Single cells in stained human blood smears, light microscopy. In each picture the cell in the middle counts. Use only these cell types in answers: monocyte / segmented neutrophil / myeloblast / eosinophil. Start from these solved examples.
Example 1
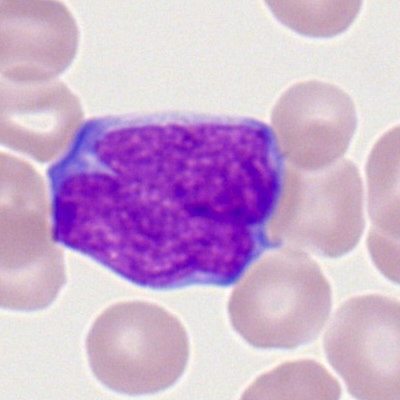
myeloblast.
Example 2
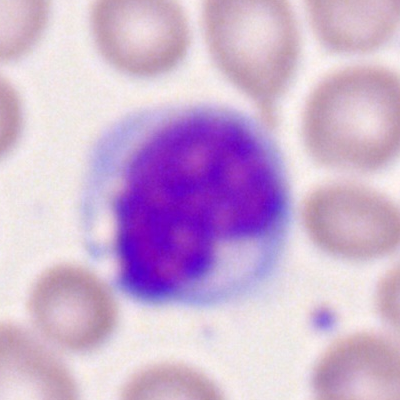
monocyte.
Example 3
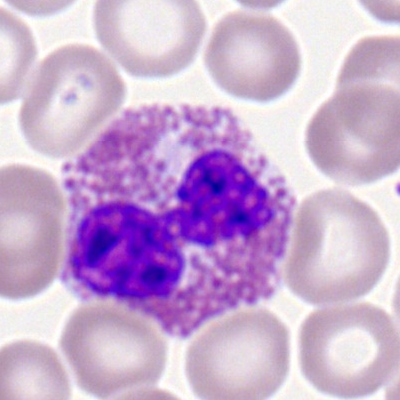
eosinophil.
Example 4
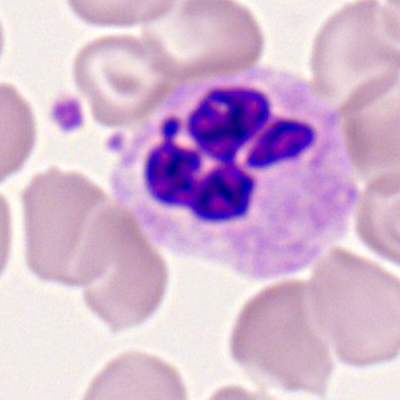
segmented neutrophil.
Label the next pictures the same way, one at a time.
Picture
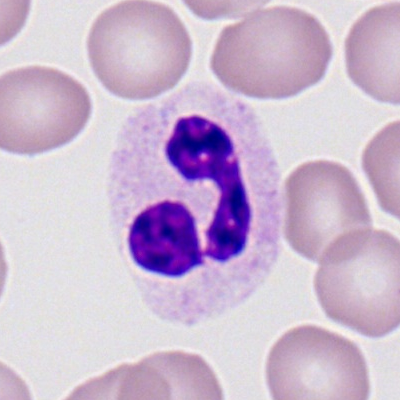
segmented neutrophil.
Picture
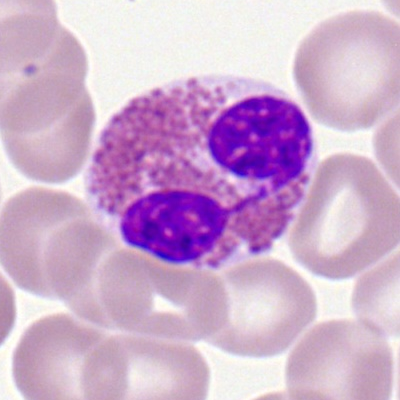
eosinophil.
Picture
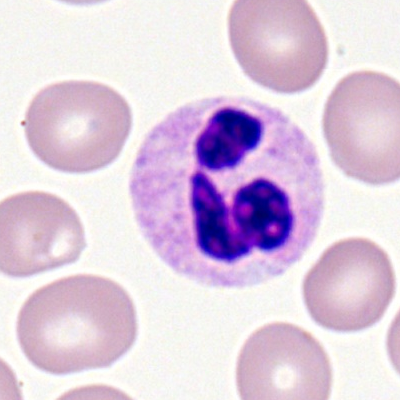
segmented neutrophil.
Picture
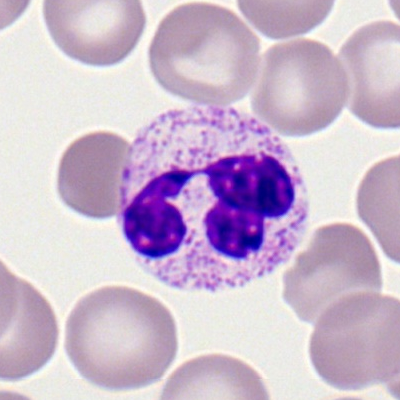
segmented neutrophil.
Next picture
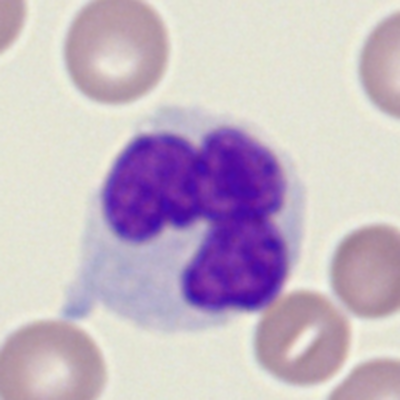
monocyte.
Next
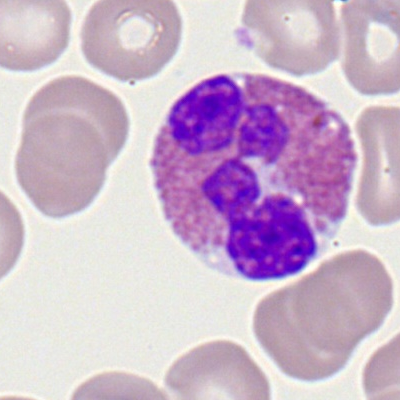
eosinophil.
